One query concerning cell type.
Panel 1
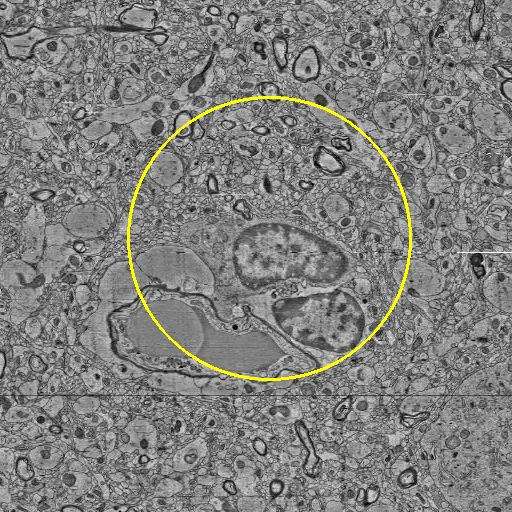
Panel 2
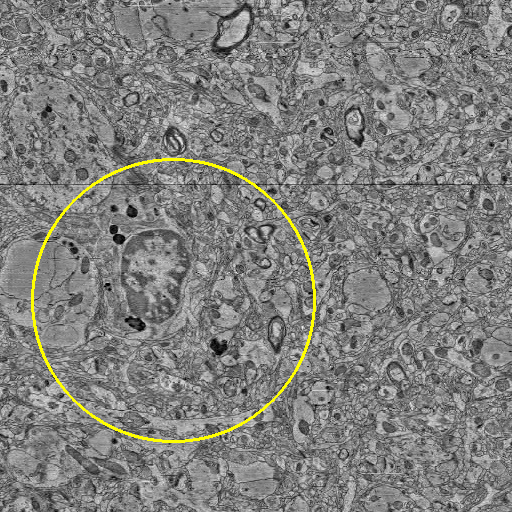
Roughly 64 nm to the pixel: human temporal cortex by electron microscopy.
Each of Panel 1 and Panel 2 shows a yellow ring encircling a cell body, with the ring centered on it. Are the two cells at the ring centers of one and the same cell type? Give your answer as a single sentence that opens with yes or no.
No, the cell centered in Panel 1 and the one in Panel 2 are of two types.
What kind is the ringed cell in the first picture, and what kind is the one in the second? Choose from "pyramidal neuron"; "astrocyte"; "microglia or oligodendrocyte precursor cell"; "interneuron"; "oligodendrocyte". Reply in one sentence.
The first cell is an oligodendrocyte; the second is a microglial cell or oligodendrocyte precursor cell.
